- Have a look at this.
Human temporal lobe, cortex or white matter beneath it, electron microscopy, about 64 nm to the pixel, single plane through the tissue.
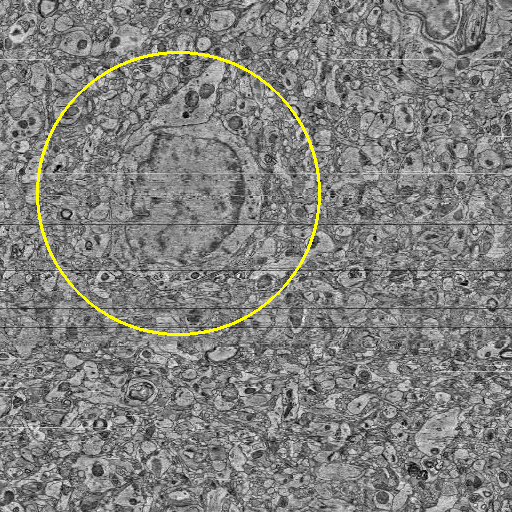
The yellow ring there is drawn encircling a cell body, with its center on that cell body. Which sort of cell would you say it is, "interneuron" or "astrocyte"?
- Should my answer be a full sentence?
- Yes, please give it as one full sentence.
For this picture, an interneuron is the cell where the yellow ring has its center.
